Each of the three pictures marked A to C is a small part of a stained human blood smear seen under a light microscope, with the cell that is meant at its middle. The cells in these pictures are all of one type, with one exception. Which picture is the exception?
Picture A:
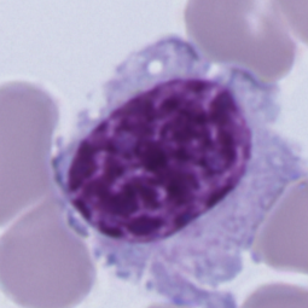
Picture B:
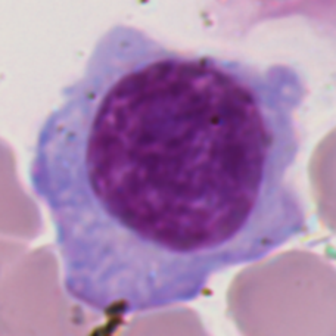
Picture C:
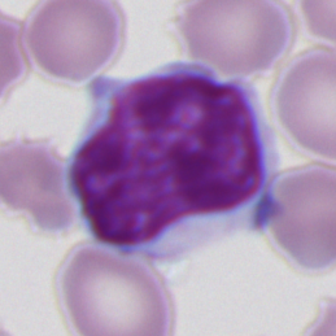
C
